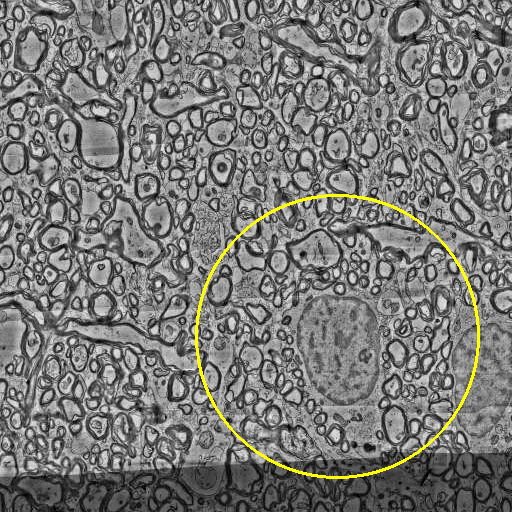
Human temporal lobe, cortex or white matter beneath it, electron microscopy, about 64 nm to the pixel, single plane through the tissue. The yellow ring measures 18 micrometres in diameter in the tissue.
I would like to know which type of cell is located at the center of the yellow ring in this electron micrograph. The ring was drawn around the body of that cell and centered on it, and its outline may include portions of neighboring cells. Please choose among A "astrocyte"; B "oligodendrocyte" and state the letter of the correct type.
B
